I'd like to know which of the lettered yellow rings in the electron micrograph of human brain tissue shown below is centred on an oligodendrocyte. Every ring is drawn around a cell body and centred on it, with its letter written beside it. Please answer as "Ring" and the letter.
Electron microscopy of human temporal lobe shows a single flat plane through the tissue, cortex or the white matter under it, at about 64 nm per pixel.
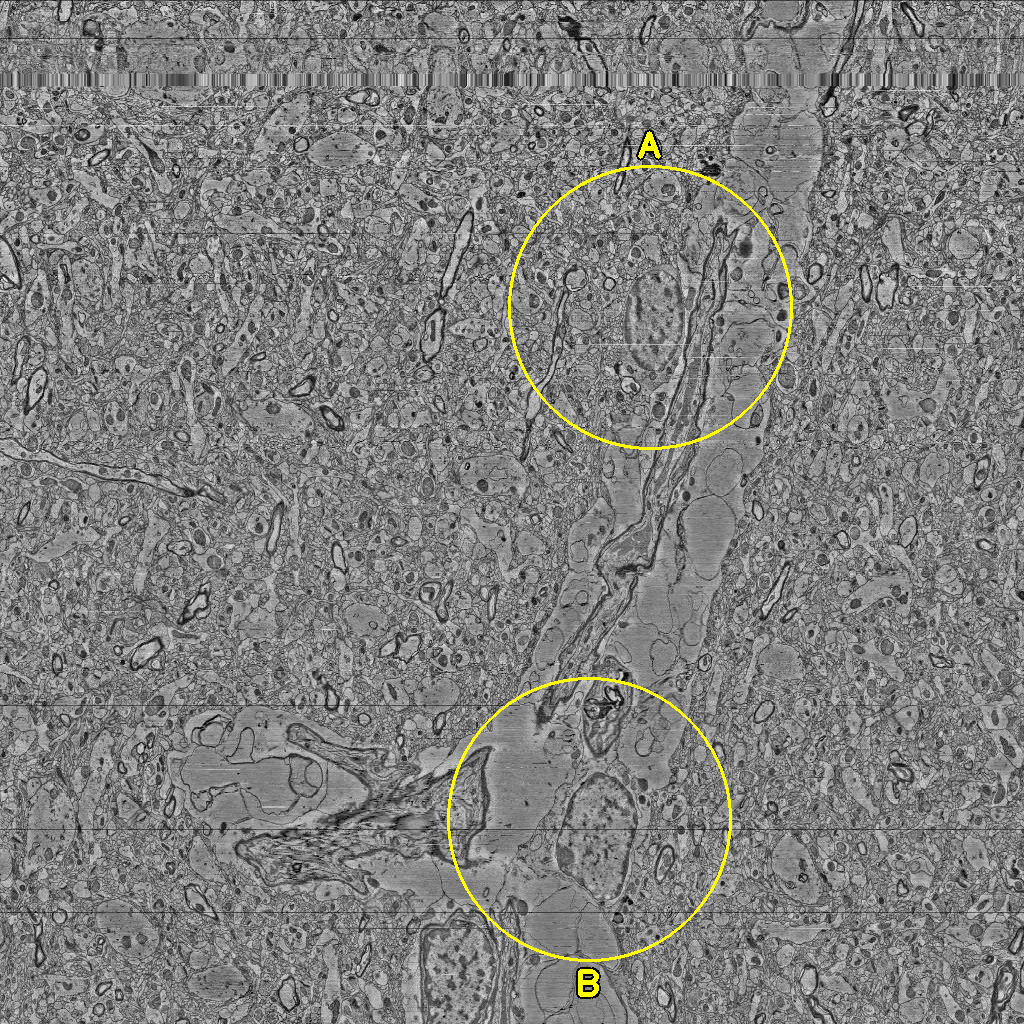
Ring A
